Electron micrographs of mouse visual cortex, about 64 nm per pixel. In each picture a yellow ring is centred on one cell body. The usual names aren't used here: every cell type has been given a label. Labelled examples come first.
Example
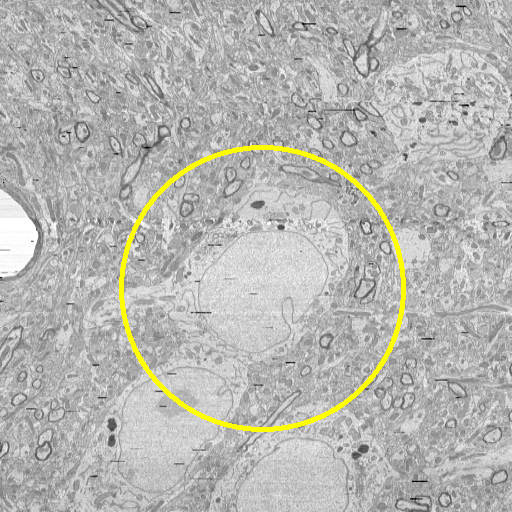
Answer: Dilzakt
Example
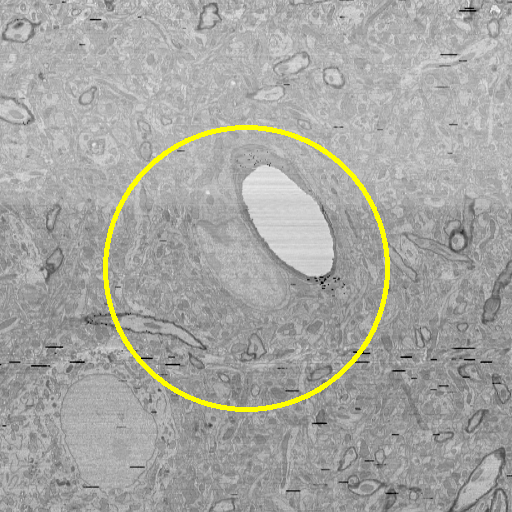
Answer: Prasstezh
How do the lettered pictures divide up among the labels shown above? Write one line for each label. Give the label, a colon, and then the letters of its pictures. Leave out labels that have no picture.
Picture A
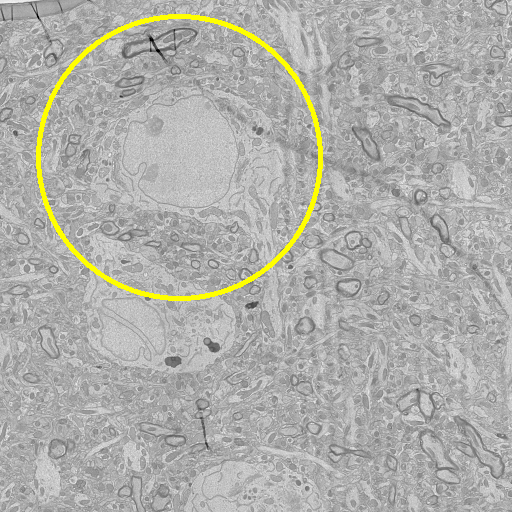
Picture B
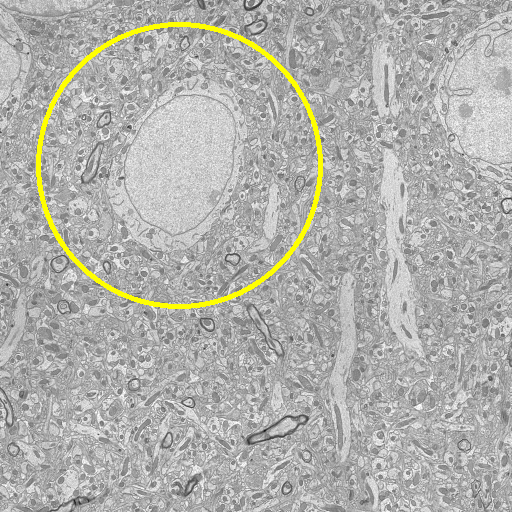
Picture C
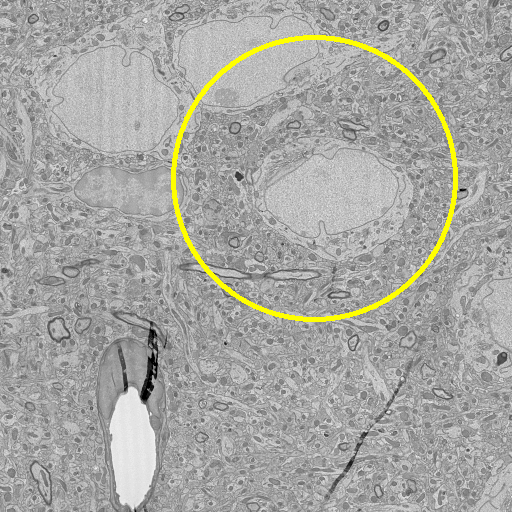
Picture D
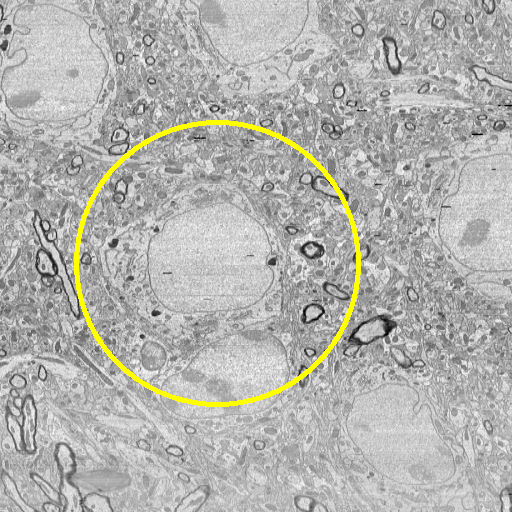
Dilzakt: A, B, C, D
